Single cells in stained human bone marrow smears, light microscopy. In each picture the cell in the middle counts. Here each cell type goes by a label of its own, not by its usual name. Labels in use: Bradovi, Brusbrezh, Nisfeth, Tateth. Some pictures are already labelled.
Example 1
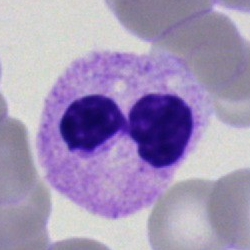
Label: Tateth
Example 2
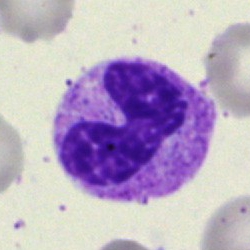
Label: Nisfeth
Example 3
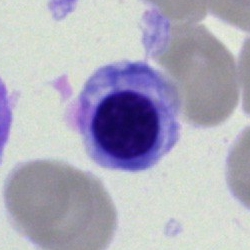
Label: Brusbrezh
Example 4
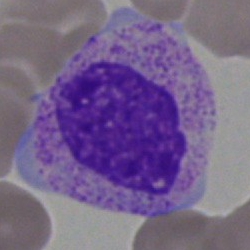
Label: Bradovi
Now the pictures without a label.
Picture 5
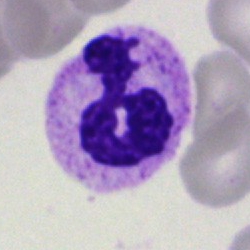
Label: Tateth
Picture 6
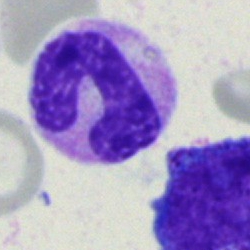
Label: Nisfeth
